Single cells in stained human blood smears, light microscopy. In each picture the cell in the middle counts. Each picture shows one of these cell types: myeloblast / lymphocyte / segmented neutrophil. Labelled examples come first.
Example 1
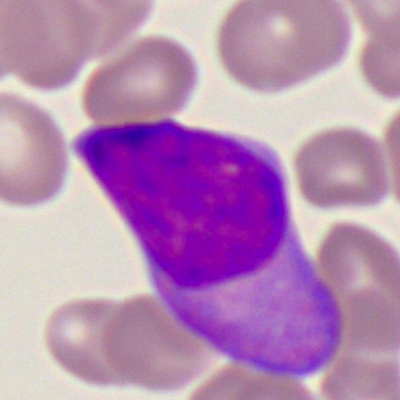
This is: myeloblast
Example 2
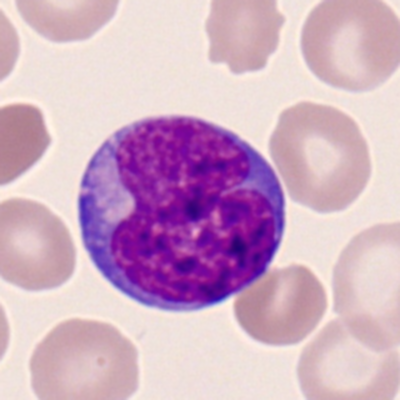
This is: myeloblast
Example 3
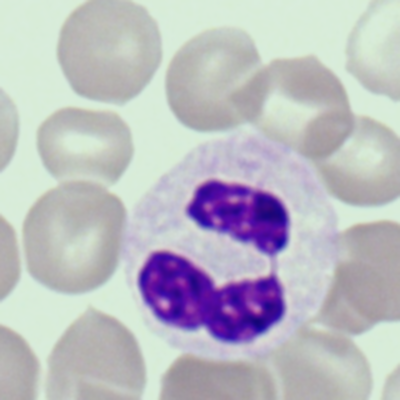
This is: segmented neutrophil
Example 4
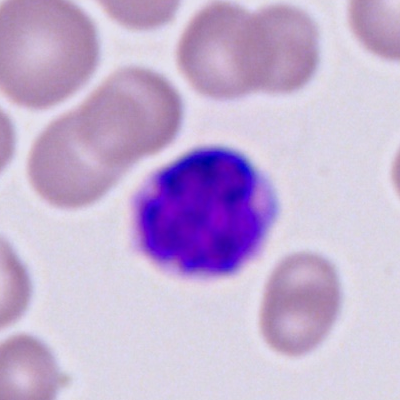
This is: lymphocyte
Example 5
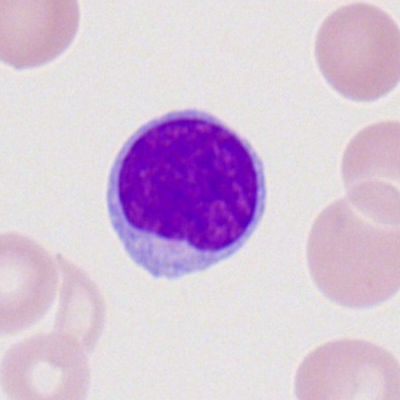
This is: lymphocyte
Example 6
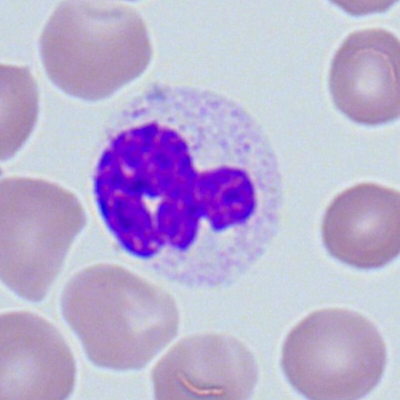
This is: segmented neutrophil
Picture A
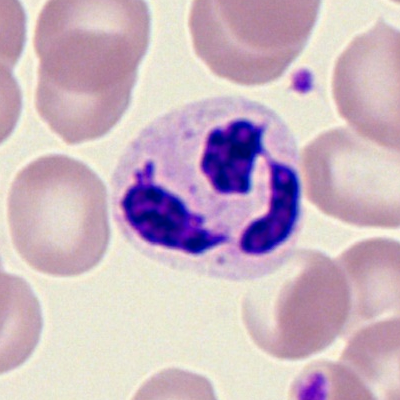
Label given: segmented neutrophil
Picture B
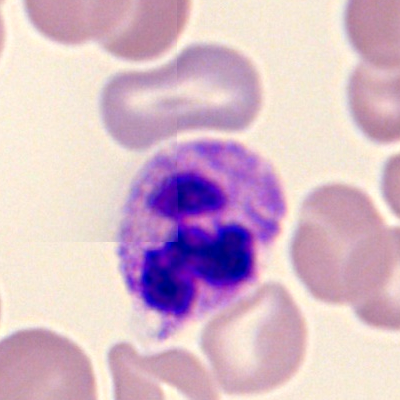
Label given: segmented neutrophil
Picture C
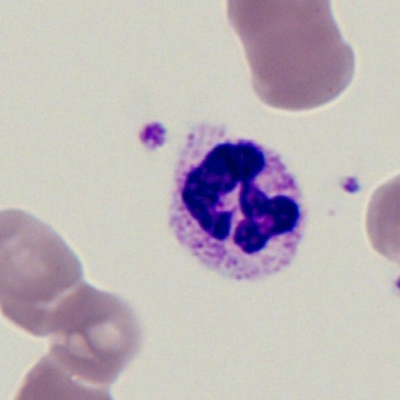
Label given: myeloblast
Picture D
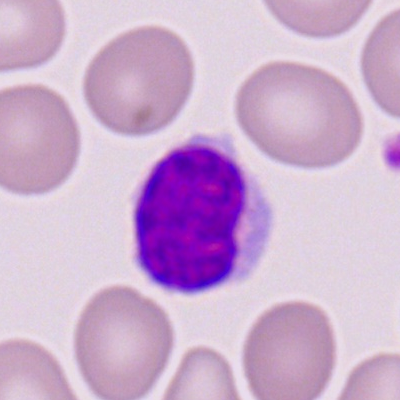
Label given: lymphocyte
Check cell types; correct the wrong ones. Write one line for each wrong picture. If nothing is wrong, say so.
C: change myeloblast to segmented neutrophil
